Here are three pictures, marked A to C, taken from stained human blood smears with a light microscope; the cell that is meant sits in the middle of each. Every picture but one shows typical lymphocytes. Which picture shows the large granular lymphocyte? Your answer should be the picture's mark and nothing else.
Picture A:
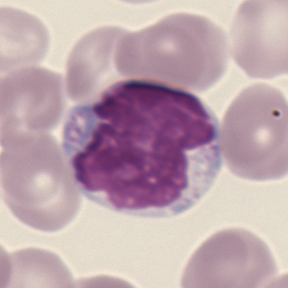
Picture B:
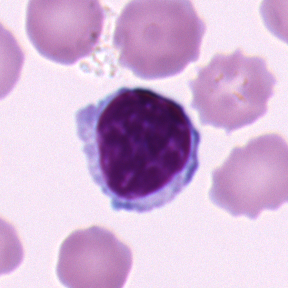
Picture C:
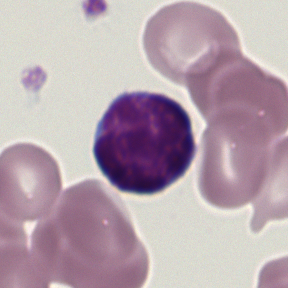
A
